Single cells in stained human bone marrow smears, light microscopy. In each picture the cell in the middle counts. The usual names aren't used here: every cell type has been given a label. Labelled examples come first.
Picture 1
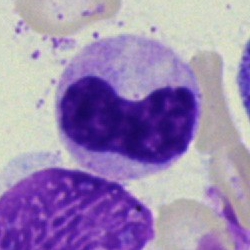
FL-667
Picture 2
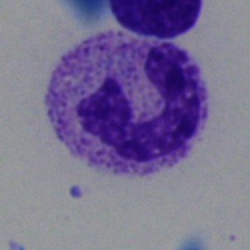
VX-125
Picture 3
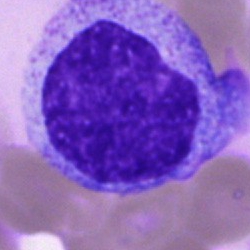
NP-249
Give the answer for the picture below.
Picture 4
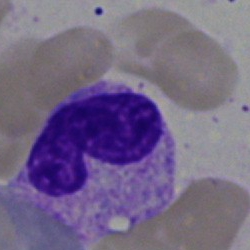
FL-667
